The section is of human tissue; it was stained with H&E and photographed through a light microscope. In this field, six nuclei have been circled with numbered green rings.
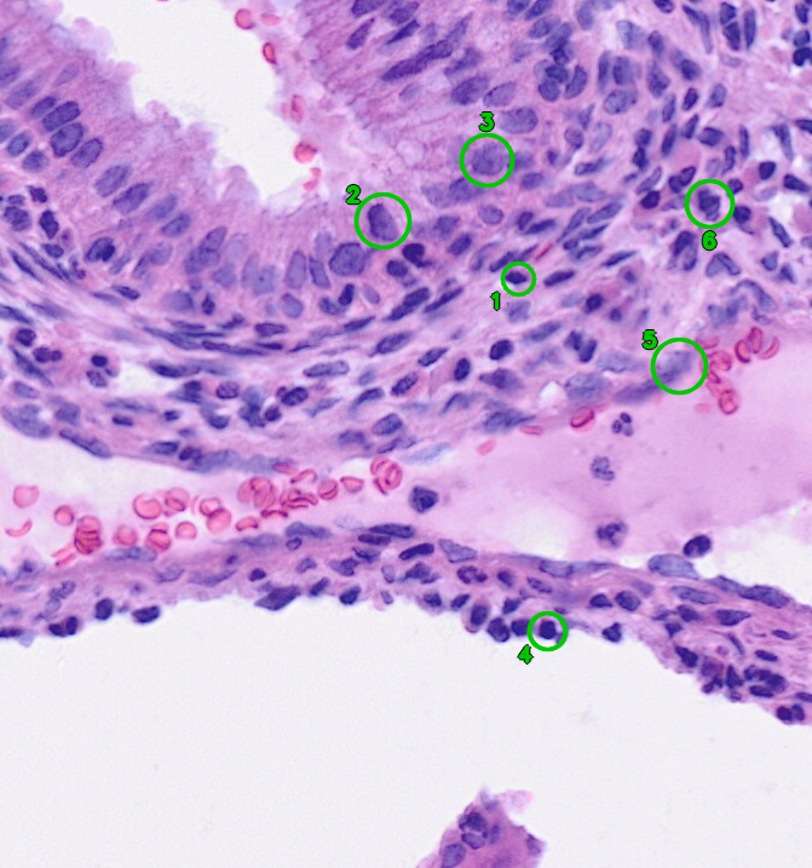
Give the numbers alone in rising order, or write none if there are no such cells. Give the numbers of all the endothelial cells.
5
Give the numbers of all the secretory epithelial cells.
2, 3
